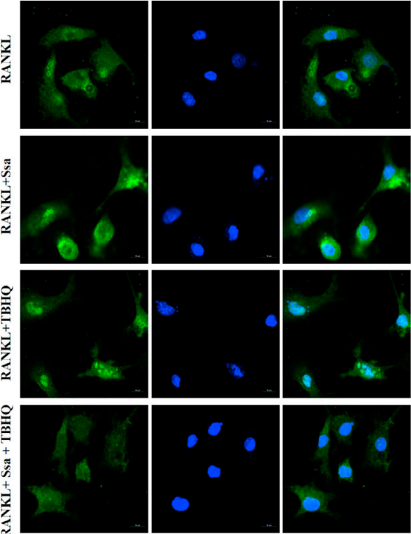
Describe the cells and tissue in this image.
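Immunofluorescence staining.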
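These are cultured cells with spread, irregular outlines, their cytoplasm labelled green and their oval nuclei blue. In some rows the green fills the cytoplasm fairly evenly and the nuclei stand out as darker or only faintly green. In other rows the green is brightest over the nucleus, so that the merged picture shows the nuclei taking on a cyan tone.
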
